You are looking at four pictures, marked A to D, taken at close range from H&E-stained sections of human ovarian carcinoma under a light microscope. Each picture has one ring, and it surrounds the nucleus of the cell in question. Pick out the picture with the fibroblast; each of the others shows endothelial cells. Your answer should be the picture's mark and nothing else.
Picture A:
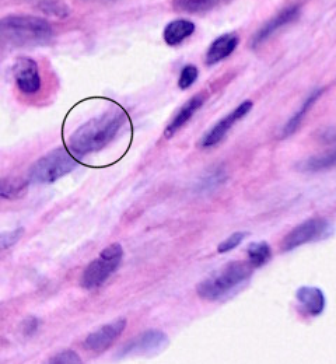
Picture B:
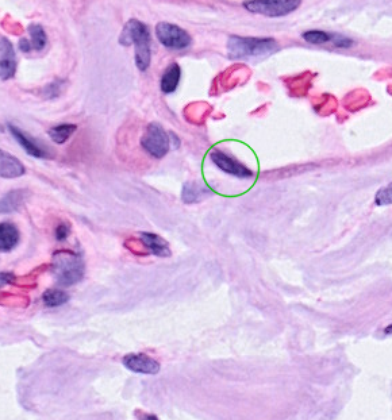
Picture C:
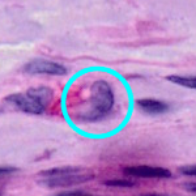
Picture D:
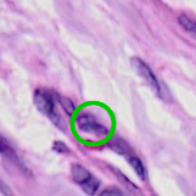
A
